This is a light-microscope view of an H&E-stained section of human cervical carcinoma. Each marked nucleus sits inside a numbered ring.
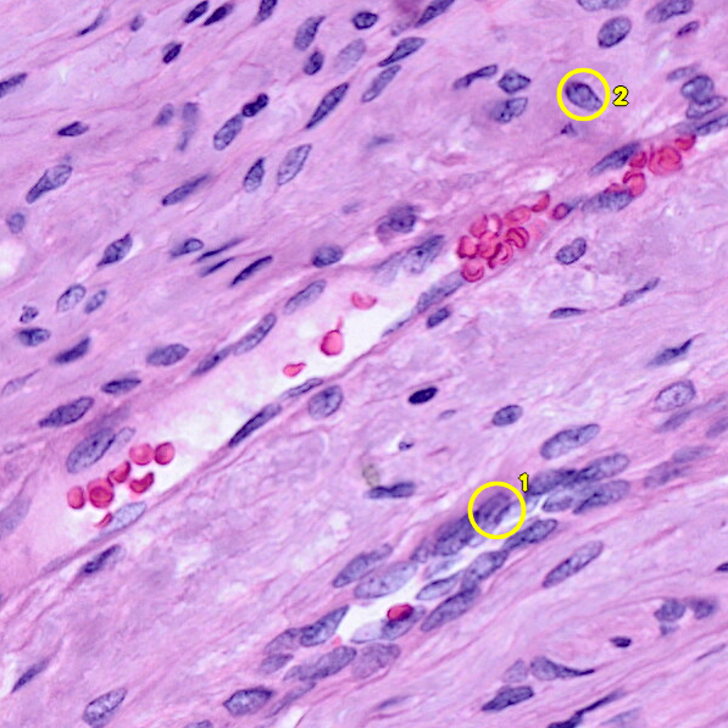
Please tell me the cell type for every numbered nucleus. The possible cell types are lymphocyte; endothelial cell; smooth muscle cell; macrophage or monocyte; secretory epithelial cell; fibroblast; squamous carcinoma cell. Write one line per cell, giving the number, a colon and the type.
1: endothelial cell
2: fibroblast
